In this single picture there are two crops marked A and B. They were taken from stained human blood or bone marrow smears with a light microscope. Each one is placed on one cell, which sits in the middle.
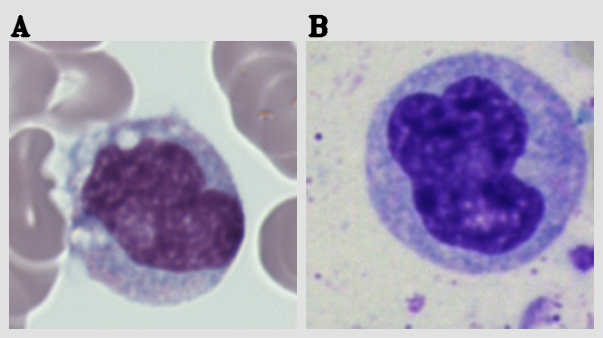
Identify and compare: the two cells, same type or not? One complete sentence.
Yes, the two crops show monocytes at their centres.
